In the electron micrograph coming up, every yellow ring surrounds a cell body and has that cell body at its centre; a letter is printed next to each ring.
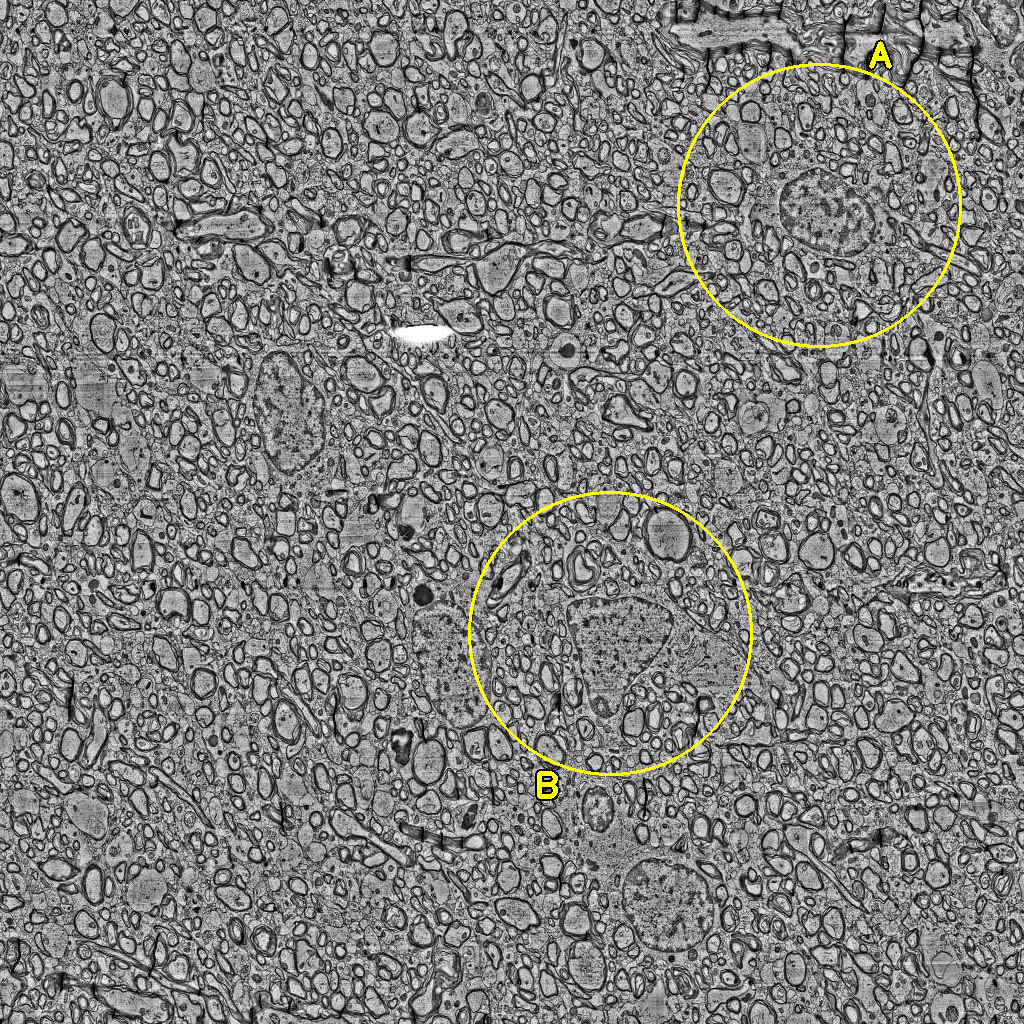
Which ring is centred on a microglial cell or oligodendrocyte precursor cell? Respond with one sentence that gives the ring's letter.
Ring B is the one whose centre sits on the cell asked for in the picture.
